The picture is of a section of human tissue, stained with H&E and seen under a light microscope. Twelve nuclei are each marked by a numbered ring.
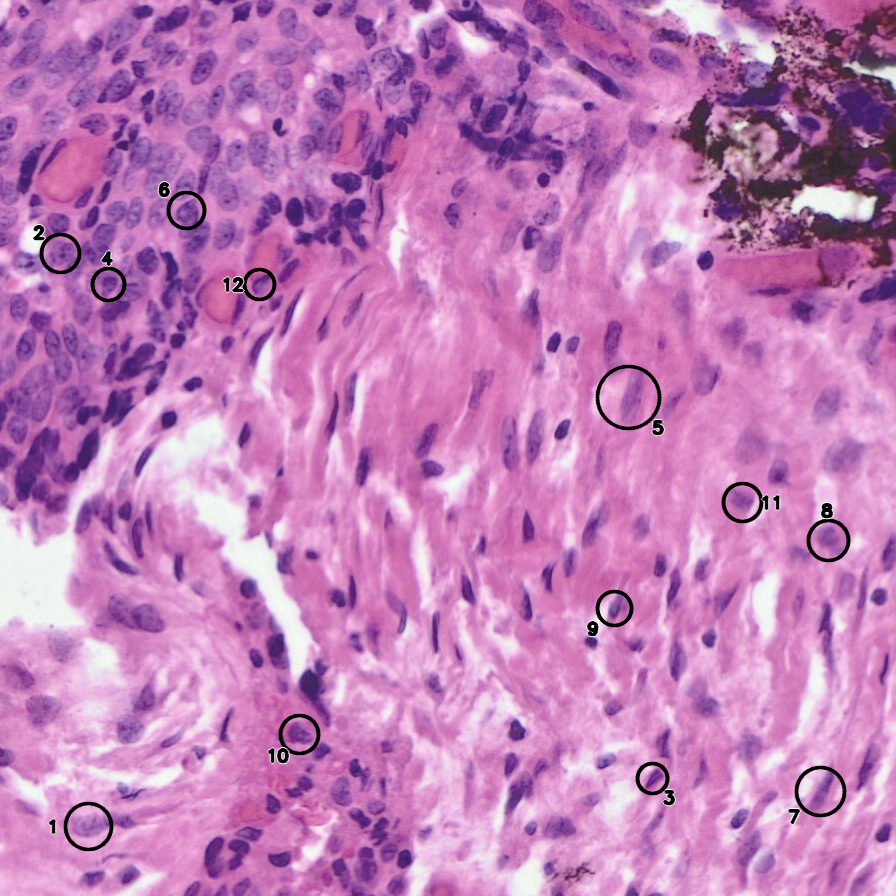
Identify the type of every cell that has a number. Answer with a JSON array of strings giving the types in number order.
["fibroblast", "carcinoma cell", "fibroblast", "carcinoma cell", "fibroblast", "carcinoma cell", "fibroblast", "fibroblast", "fibroblast", "macrophage or monocyte", "fibroblast", "endothelial cell"]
